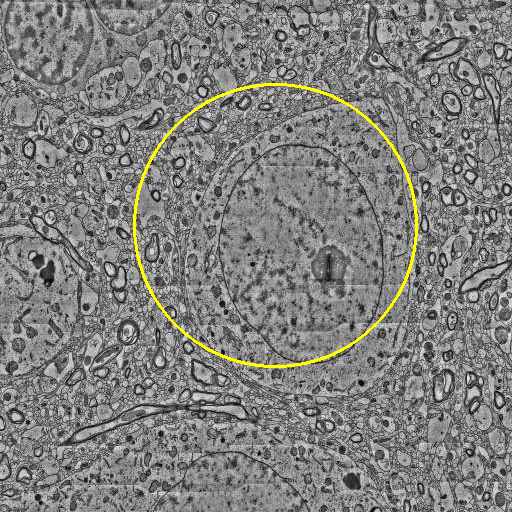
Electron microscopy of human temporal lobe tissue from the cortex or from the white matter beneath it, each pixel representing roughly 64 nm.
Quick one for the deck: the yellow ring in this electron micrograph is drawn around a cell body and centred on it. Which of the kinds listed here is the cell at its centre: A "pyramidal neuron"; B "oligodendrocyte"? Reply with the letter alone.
A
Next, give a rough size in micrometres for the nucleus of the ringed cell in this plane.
In this plane the nucleus is about 14 micrometres by 11.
